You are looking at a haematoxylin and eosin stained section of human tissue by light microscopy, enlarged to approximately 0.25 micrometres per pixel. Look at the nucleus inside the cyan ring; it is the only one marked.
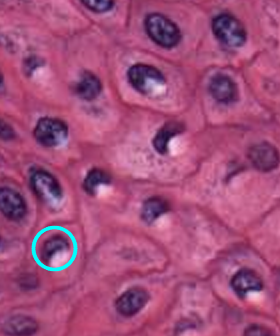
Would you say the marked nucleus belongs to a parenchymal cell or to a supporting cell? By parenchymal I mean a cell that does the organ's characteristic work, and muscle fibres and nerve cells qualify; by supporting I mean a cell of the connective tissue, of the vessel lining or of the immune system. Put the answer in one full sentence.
What the marked nucleus belongs to is a parenchymal cell, namely a squamous epithelial cell.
